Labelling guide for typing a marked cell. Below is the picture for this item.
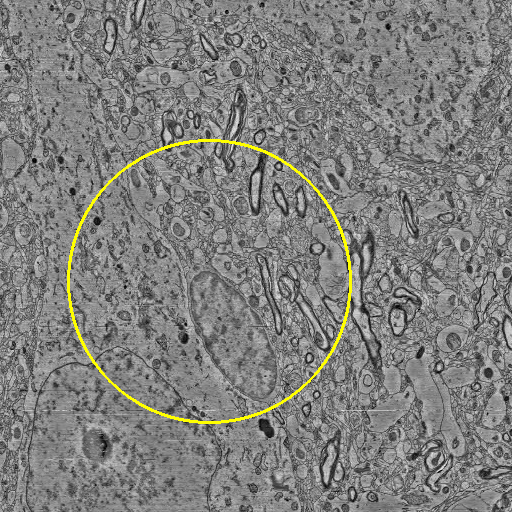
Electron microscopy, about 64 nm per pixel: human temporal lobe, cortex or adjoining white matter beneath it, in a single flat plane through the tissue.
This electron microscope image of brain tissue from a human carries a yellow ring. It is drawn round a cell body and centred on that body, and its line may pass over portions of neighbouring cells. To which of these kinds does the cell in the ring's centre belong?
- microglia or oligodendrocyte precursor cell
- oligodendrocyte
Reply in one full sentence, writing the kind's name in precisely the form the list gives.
Here we have an oligodendrocyte at the centre of the yellow ring in the picture.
